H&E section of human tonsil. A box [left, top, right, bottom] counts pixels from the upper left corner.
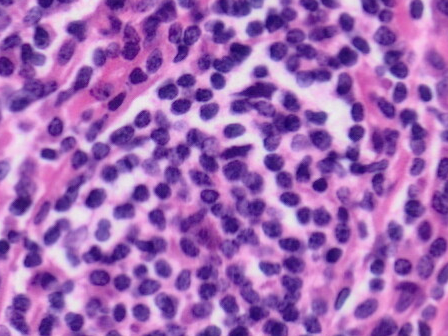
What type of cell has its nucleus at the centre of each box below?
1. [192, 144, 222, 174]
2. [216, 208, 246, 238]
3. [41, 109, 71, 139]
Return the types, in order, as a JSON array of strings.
["small lymphocyte", "small lymphocyte", "plasma cell"]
